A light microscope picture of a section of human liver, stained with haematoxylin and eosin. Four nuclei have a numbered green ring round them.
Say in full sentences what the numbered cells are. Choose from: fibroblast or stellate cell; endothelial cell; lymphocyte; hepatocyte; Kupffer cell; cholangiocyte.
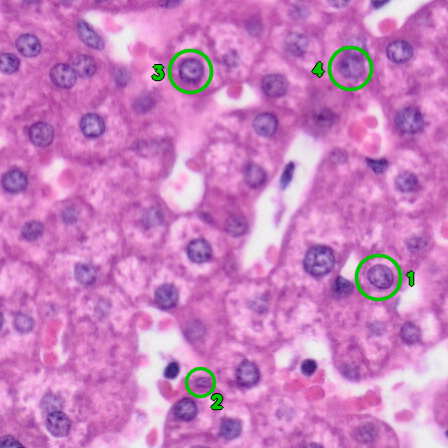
Cell 1 is a hepatocyte, cell 2 is a Kupffer cell, cell 3 is a hepatocyte and cell 4 is a hepatocyte.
